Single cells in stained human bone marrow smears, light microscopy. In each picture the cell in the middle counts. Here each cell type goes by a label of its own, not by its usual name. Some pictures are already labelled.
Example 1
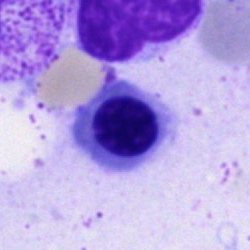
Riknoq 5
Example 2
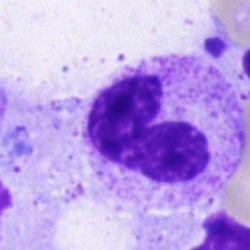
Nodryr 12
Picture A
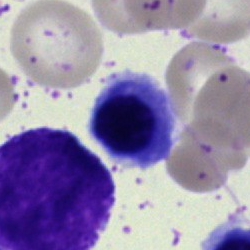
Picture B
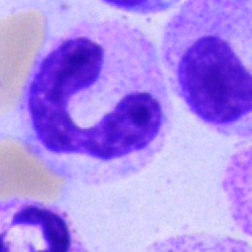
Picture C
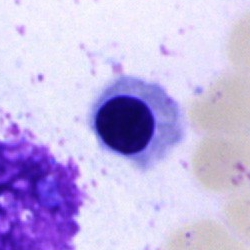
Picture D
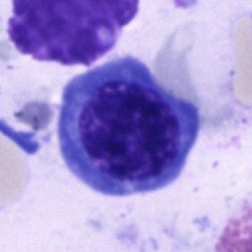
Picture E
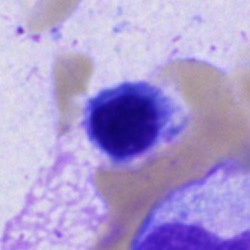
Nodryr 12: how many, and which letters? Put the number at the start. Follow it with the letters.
Count: 1 (B)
